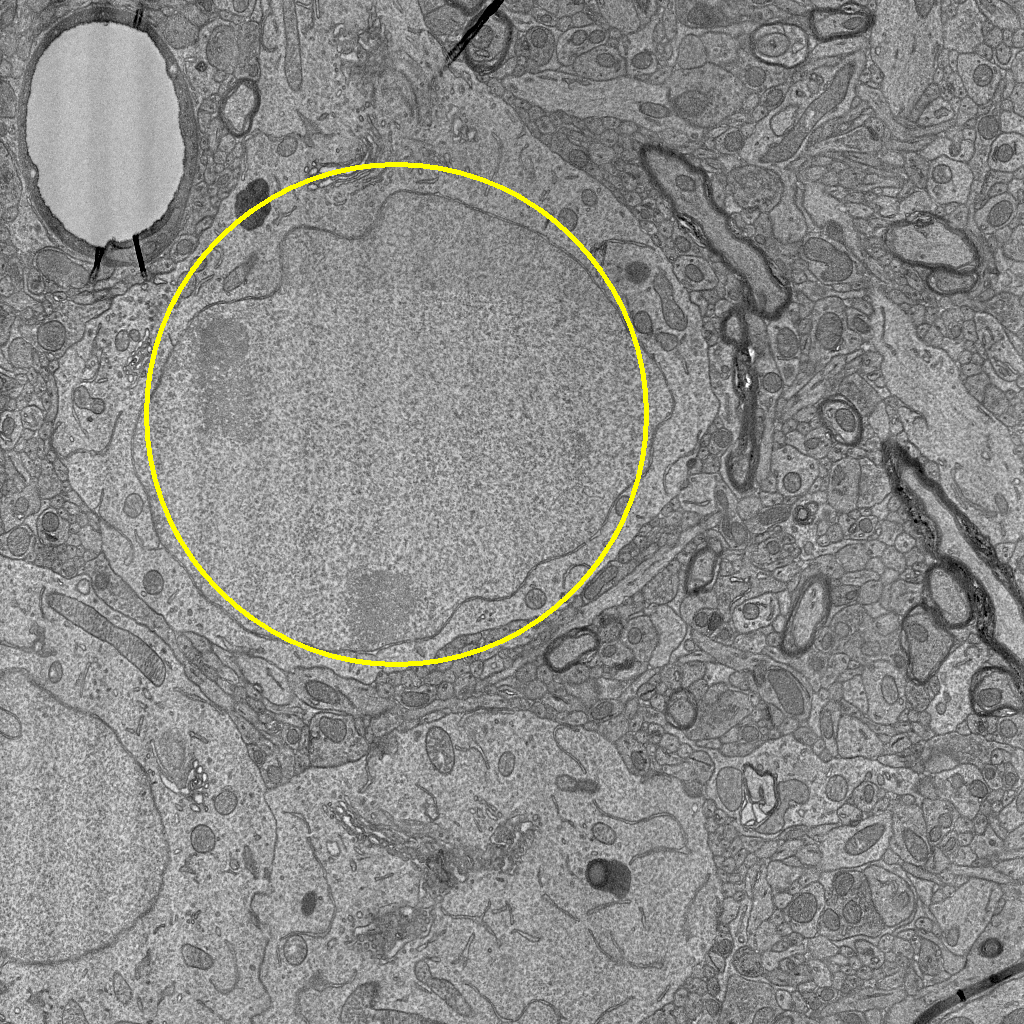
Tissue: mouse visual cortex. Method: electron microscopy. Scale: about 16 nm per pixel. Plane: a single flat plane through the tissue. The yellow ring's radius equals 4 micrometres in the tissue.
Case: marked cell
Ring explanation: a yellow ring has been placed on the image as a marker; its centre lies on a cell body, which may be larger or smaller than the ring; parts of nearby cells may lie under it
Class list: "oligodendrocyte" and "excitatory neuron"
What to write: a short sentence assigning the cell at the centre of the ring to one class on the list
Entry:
The cell at the ring's centre is an excitatory neuron.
